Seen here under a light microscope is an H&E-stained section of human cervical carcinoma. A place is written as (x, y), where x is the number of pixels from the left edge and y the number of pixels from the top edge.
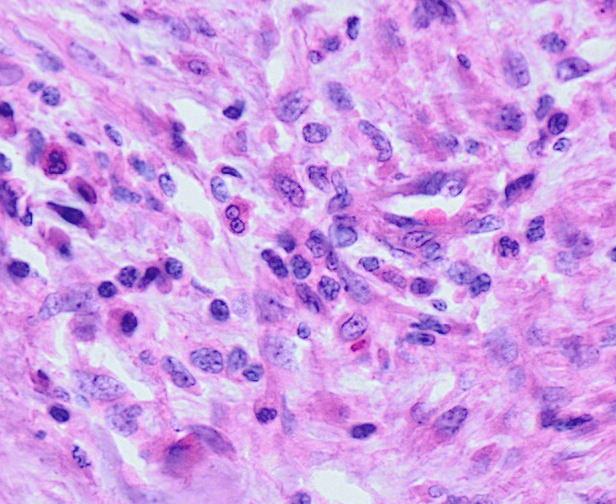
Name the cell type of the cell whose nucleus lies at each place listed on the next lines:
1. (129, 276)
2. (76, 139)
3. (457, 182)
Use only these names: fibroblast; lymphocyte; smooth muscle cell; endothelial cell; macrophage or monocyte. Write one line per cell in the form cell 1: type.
cell 1: lymphocyte
cell 2: lymphocyte
cell 3: endothelial cell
